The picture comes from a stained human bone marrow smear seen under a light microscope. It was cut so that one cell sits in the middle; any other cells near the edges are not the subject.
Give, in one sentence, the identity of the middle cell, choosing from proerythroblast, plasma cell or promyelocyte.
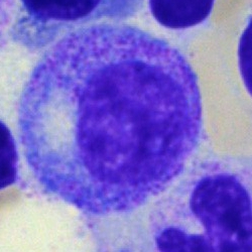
Classified as a promyelocyte is the cell in the middle of this crop.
